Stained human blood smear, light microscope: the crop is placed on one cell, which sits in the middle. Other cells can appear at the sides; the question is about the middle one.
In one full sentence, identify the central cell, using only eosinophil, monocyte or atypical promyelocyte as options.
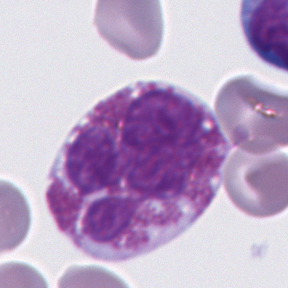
The cell centred in this crop is categorized as an eosinophil.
